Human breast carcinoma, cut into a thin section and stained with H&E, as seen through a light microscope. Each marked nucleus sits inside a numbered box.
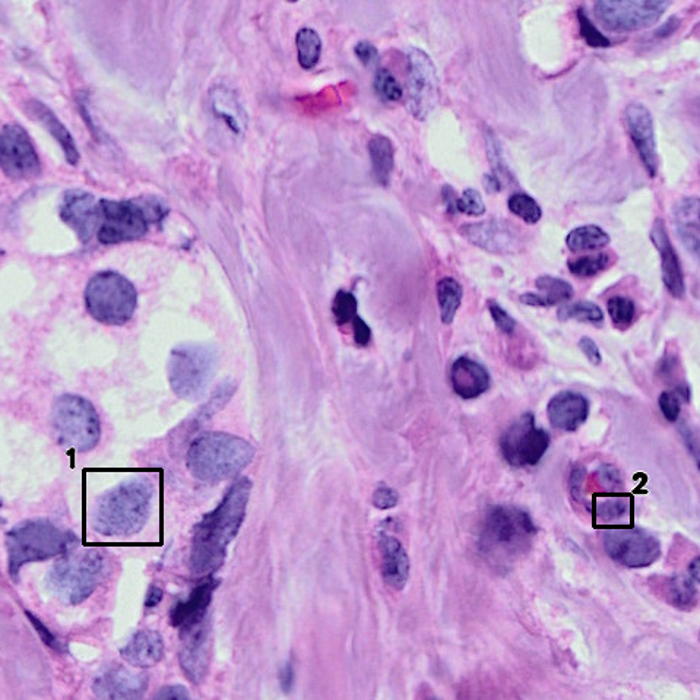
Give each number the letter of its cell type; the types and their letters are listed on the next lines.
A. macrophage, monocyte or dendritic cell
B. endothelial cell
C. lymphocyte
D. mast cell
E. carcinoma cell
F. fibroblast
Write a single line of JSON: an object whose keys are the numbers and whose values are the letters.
{"1": "E", "2": "B"}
